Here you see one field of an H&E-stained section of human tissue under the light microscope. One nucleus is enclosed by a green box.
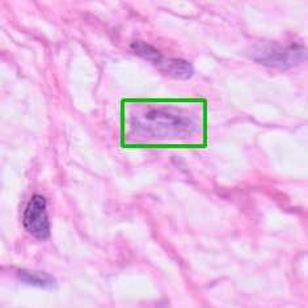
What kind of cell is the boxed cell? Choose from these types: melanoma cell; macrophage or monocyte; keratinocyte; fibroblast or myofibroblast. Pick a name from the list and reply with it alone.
fibroblast or myofibroblast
